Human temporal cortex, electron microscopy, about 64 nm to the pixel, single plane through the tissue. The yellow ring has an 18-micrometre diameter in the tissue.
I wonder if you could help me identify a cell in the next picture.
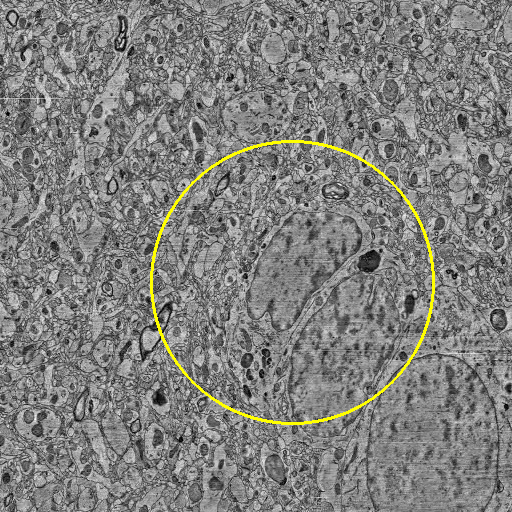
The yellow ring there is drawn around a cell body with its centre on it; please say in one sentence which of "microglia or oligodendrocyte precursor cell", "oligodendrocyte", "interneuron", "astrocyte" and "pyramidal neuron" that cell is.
The yellow ring is centred on a microglial cell or oligodendrocyte precursor cell.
